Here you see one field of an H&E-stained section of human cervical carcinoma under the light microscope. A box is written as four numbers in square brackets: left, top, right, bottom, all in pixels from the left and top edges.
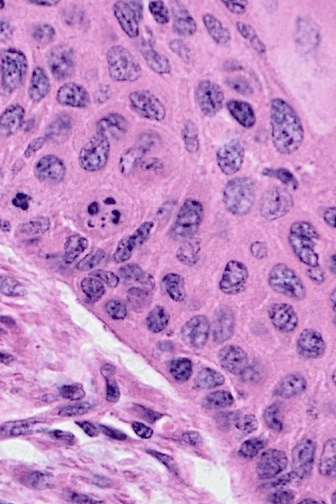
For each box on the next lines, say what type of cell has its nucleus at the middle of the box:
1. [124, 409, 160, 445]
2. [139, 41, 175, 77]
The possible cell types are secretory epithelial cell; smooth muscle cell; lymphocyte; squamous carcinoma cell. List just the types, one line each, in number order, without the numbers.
lymphocyte
squamous carcinoma cell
